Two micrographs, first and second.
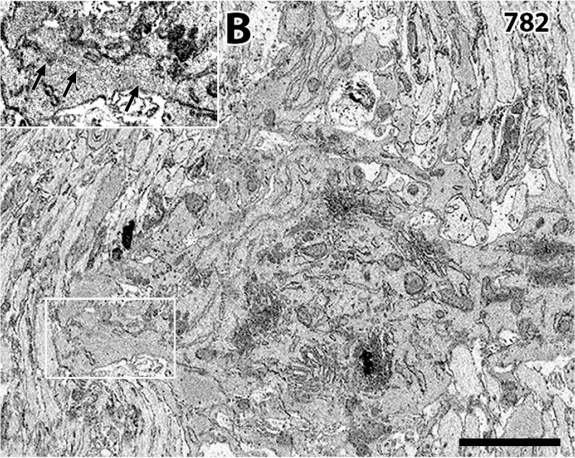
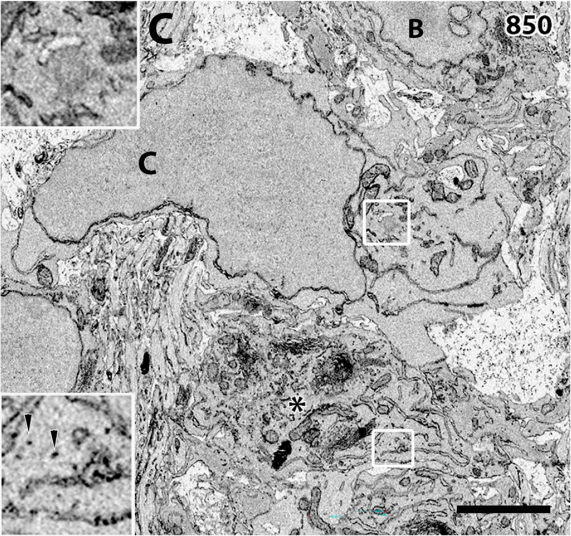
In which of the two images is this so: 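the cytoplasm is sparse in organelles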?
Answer: The second image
